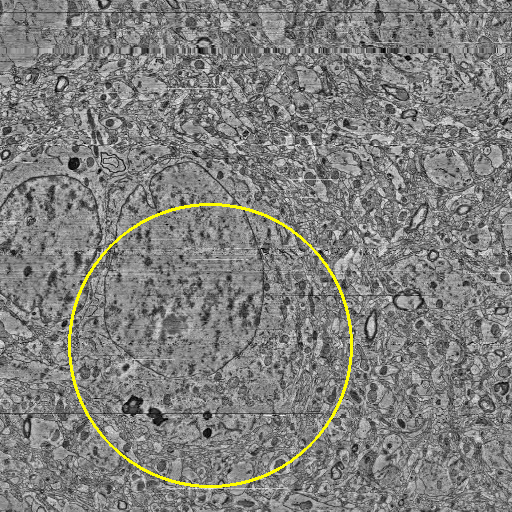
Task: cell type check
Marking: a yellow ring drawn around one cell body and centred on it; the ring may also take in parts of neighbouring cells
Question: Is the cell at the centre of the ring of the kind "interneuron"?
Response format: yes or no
no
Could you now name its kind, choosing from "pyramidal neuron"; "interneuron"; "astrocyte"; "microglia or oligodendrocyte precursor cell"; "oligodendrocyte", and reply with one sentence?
As it turns out, the cell at the ring centre is a pyramidal neuron.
